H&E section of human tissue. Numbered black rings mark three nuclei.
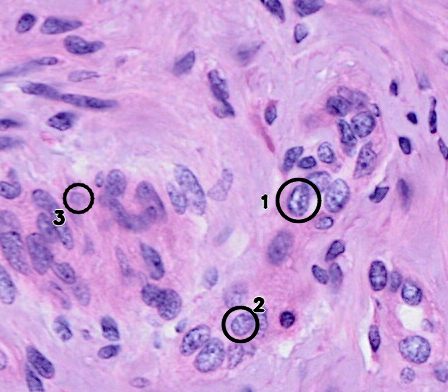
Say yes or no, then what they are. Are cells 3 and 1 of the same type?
No, cell 3 is a smooth muscle cell; cell 1, by contrast, is an endothelial cell.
